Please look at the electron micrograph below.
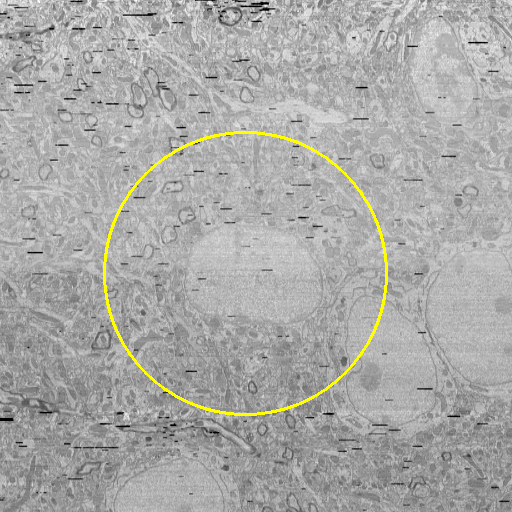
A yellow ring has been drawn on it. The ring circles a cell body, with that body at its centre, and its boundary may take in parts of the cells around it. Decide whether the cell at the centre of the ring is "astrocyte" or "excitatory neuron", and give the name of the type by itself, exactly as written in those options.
astrocyte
